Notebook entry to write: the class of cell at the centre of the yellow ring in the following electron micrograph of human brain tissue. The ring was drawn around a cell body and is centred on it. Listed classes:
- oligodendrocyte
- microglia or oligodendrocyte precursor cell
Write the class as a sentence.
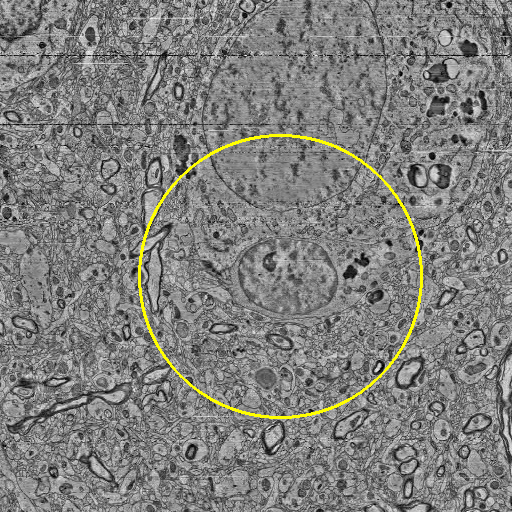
The yellow ring sits on an oligodendrocyte.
